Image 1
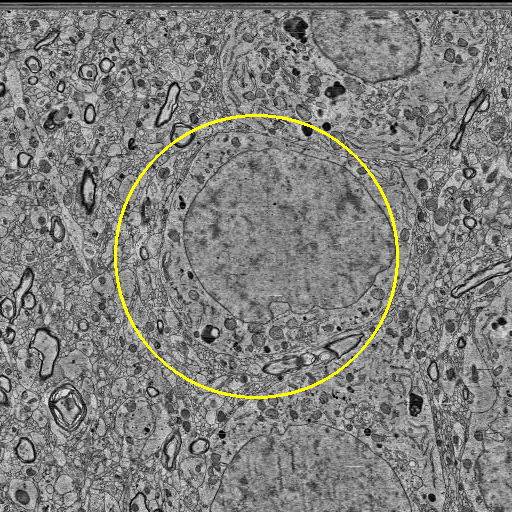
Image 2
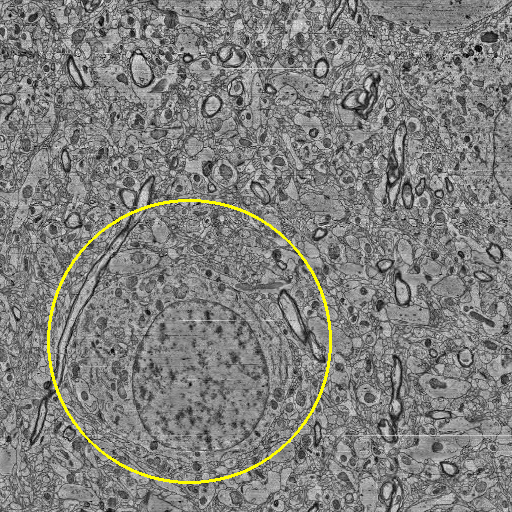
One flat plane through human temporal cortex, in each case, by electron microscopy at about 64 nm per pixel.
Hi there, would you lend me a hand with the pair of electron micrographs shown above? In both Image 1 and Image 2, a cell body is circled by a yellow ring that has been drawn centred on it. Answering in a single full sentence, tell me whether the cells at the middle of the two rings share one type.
No, the ringed cells in Image 1 and Image 2 belong to two types.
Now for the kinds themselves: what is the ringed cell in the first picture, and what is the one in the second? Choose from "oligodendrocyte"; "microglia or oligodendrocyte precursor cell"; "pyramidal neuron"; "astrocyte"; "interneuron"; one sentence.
Here the first cell is a pyramidal neuron and the second cell is an interneuron.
